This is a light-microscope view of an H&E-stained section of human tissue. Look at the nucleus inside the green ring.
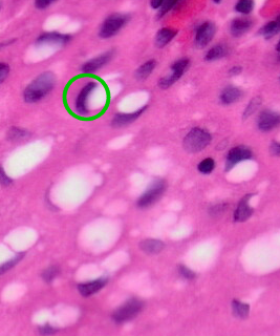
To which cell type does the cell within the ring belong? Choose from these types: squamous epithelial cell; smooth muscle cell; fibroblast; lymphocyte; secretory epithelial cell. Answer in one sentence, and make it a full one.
In this tissue sample, the cell within the ring is a squamous epithelial cell.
